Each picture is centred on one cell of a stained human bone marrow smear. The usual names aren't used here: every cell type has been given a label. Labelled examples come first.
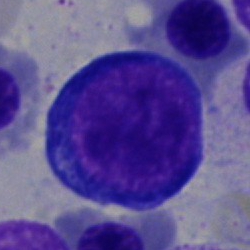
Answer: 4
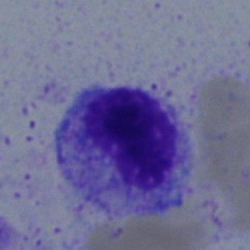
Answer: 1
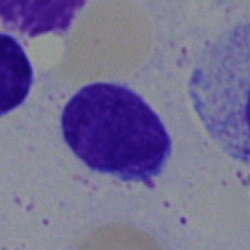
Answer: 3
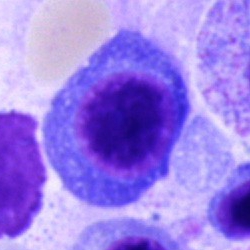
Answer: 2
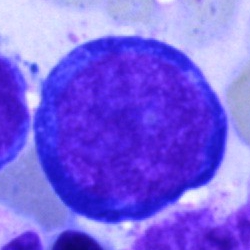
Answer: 4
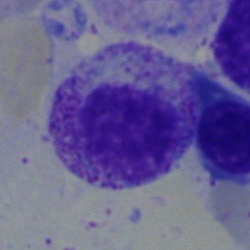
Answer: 1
